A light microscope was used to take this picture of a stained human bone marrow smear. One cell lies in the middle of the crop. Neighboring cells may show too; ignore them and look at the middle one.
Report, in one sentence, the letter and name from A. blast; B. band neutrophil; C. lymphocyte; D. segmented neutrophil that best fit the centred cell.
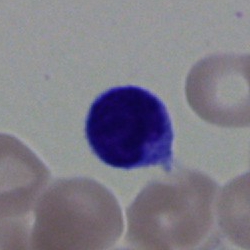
The central cell is a lymphocyte, which makes option C the right answer.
